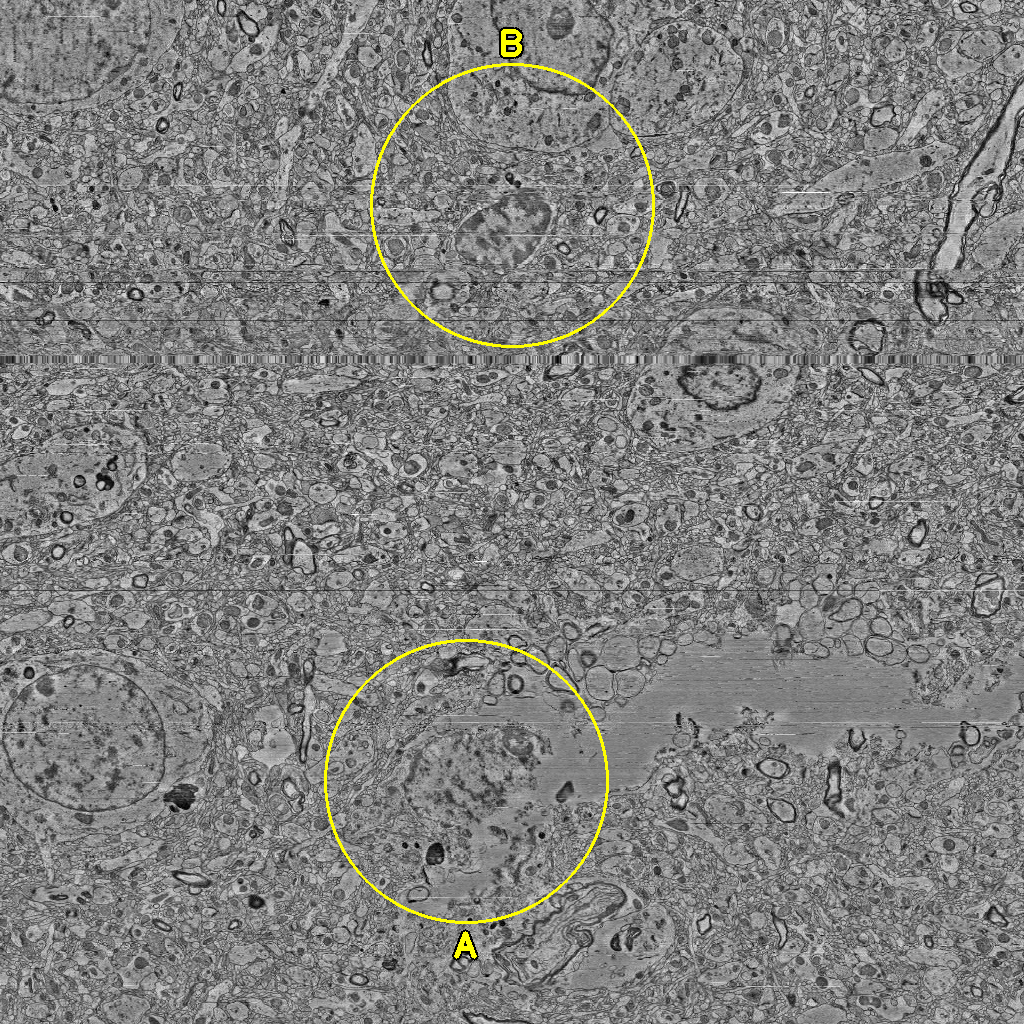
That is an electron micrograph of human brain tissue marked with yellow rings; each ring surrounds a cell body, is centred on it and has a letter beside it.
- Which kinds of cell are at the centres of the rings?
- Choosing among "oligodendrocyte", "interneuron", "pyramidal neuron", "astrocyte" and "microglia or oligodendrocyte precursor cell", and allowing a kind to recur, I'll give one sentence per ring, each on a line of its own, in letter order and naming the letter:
Ring A sits around an interneuron.
Ring B sits around a microglial cell or oligodendrocyte precursor cell.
